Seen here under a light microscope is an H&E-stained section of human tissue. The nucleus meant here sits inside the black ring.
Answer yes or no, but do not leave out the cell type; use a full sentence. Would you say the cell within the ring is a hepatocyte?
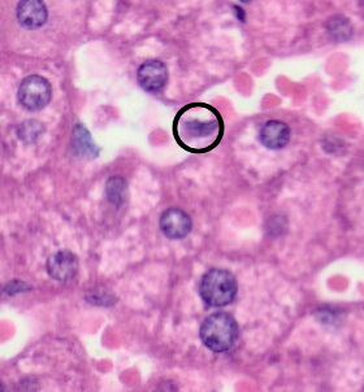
No, a Kupffer cell is what the cell within the ring is, not a hepatocyte.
